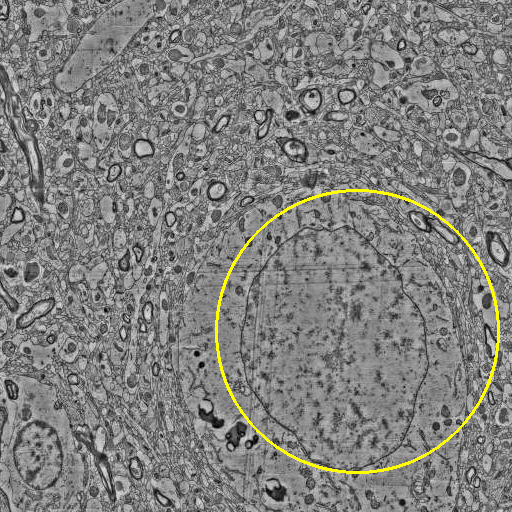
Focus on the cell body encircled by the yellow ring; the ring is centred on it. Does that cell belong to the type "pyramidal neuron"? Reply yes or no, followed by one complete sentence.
Yes, that type fits the cell lying at the centre of the ring in the picture.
